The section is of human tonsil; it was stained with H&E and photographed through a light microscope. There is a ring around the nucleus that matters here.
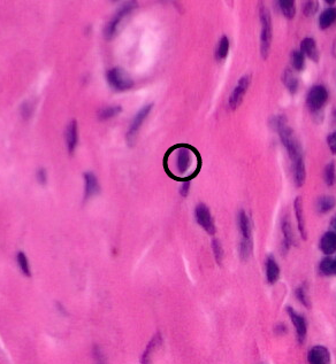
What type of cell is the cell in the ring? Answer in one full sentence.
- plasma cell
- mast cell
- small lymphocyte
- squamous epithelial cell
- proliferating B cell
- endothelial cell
In cellular terms, the cell in the ring is a mast cell.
